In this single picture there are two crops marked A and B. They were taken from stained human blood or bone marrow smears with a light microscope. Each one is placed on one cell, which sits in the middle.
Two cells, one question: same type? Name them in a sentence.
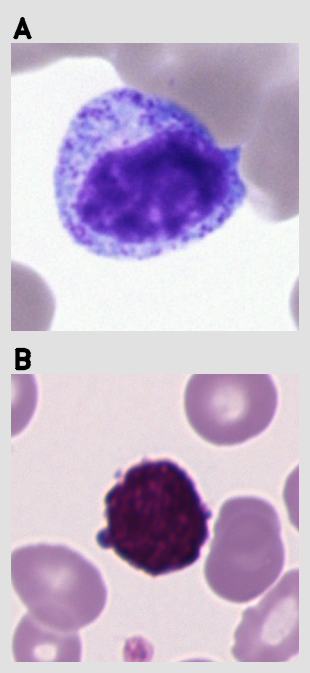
No, crop A has a myelocyte in the middle, and crop B has a blast.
